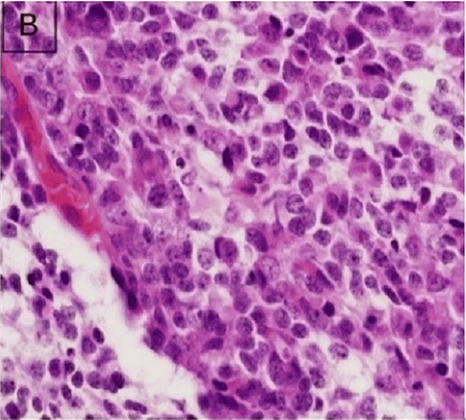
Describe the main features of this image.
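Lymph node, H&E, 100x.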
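Many cells have round to oval nuclei placed off-centre, pushed to one side of the cell. Pale, clear spaces lie between groups of cells.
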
